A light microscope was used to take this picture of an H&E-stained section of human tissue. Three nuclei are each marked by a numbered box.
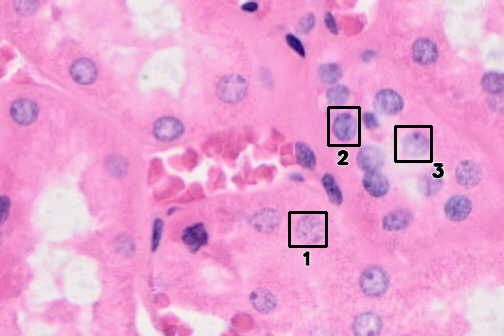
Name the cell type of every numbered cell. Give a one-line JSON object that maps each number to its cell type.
{"1": "proximal tubule cell", "2": "loop of Henle or distal tubule cell", "3": "loop of Henle or distal tubule cell"}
